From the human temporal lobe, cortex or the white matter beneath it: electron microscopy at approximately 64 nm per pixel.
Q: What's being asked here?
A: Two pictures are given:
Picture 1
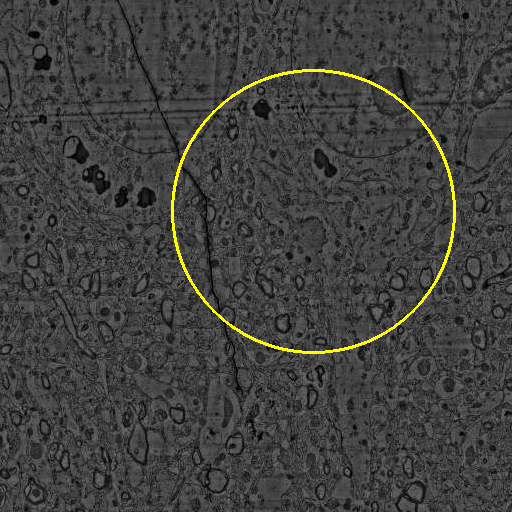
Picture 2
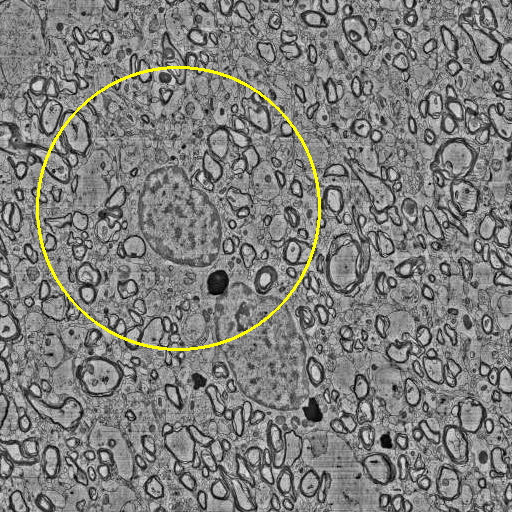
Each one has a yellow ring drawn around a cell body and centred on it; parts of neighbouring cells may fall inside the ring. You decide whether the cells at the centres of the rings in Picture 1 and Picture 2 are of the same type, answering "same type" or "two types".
same type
